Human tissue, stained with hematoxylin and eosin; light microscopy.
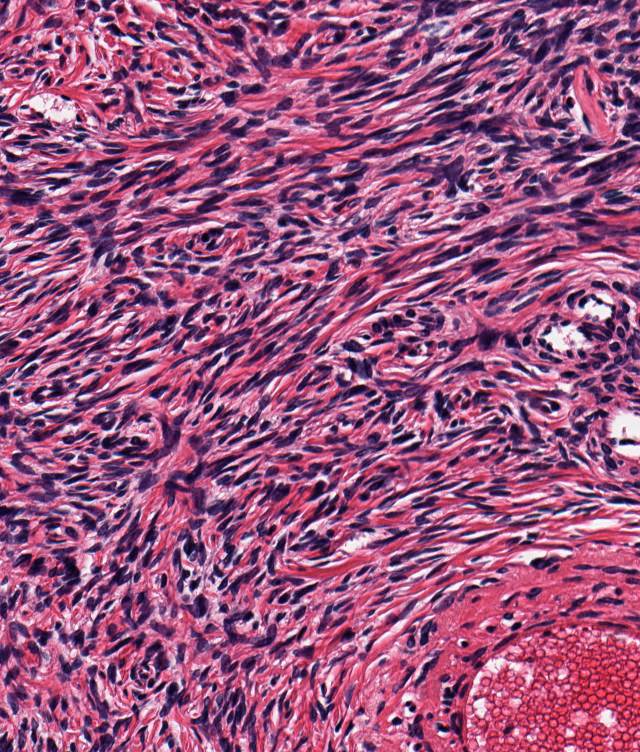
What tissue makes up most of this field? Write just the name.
ovarian cortex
